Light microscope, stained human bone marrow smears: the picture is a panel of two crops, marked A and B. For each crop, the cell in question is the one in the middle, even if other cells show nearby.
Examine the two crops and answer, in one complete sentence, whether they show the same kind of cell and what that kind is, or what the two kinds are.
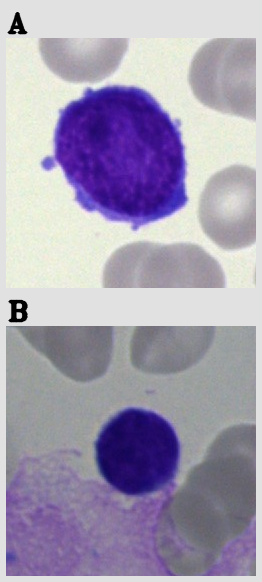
No, that is not right; crop A shows a blast and crop B shows a lymphocyte.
